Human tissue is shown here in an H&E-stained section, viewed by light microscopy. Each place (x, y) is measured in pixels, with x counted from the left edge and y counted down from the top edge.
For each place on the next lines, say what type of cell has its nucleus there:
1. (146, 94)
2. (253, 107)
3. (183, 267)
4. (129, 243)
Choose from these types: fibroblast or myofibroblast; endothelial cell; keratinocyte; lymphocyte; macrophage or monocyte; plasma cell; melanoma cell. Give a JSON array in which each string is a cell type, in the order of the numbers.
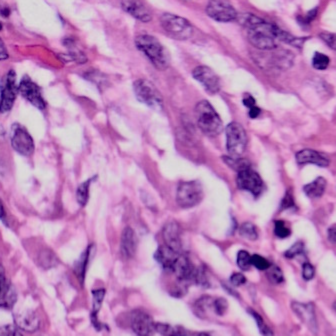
["melanoma cell", "lymphocyte", "melanoma cell", "melanoma cell"]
